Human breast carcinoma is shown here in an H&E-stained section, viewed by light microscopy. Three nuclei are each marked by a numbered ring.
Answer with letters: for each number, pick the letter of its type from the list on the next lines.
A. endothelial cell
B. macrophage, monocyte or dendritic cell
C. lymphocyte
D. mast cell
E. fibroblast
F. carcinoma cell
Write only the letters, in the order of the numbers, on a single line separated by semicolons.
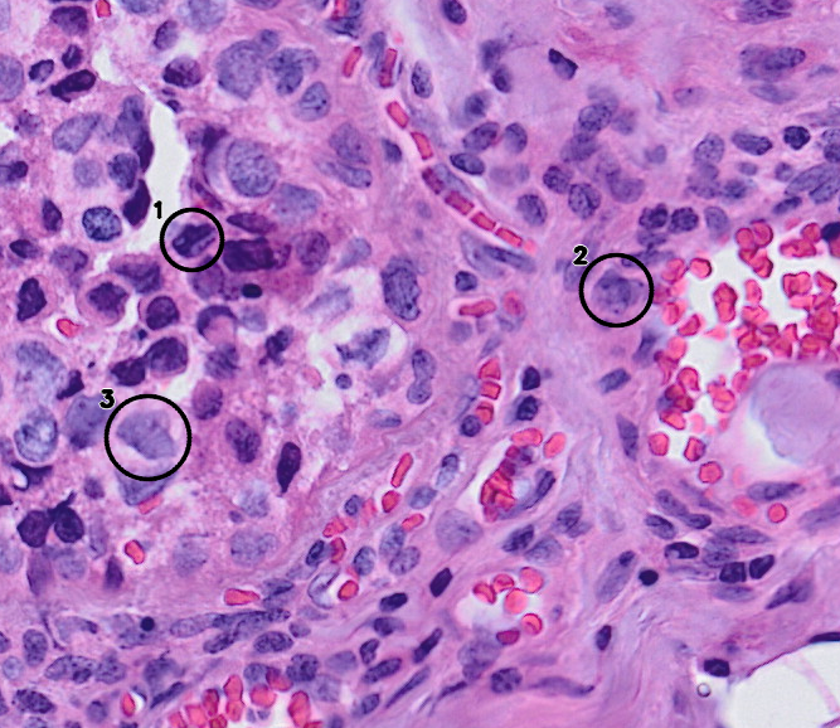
F; A; F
